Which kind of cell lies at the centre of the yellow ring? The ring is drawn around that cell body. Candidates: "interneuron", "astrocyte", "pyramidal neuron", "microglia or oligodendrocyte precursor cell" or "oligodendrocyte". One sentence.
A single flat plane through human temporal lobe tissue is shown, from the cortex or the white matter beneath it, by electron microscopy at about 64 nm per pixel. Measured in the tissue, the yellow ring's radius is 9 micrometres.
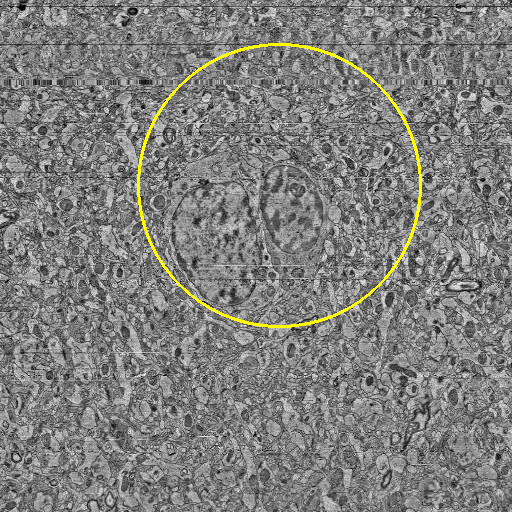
Lying at the centre of the ring is an oligodendrocyte.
